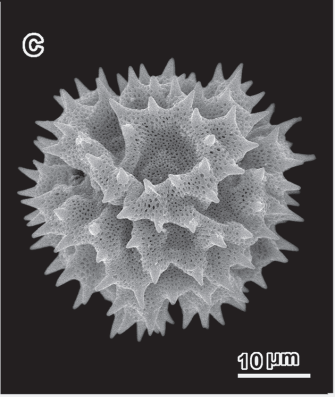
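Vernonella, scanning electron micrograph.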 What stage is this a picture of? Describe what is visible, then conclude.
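A spherical grain bearing numerous pointed spines. Partial ridges between spines surround a shallow central depression. The wall surface is finely perforated.
Hence: sublophate-echinolophate pollen.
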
